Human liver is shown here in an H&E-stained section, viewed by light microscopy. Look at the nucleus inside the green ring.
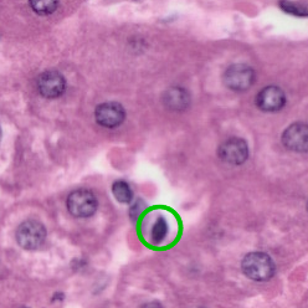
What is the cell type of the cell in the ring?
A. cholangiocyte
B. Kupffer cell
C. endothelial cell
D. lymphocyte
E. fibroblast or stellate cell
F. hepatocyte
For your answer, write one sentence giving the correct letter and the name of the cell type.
In short, option D: the cell in the ring is a lymphocyte.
